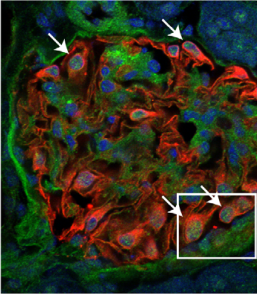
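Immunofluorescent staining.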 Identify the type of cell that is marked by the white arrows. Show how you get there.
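The arrows point to cells sitting on the outer surface of the rounded capillary tuft. The marked cells have large nuclei with bodies bulging outward. The marked cells are outlined by red staining that also lines the capillary loops.
Conclusion: podocyte cells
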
